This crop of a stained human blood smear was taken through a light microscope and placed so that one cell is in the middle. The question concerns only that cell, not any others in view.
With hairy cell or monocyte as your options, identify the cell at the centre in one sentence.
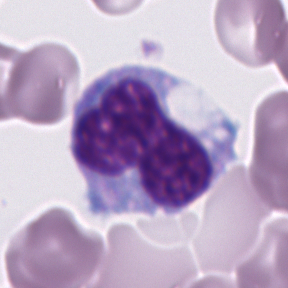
The cell in the exact centre of the crop is a monocyte.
